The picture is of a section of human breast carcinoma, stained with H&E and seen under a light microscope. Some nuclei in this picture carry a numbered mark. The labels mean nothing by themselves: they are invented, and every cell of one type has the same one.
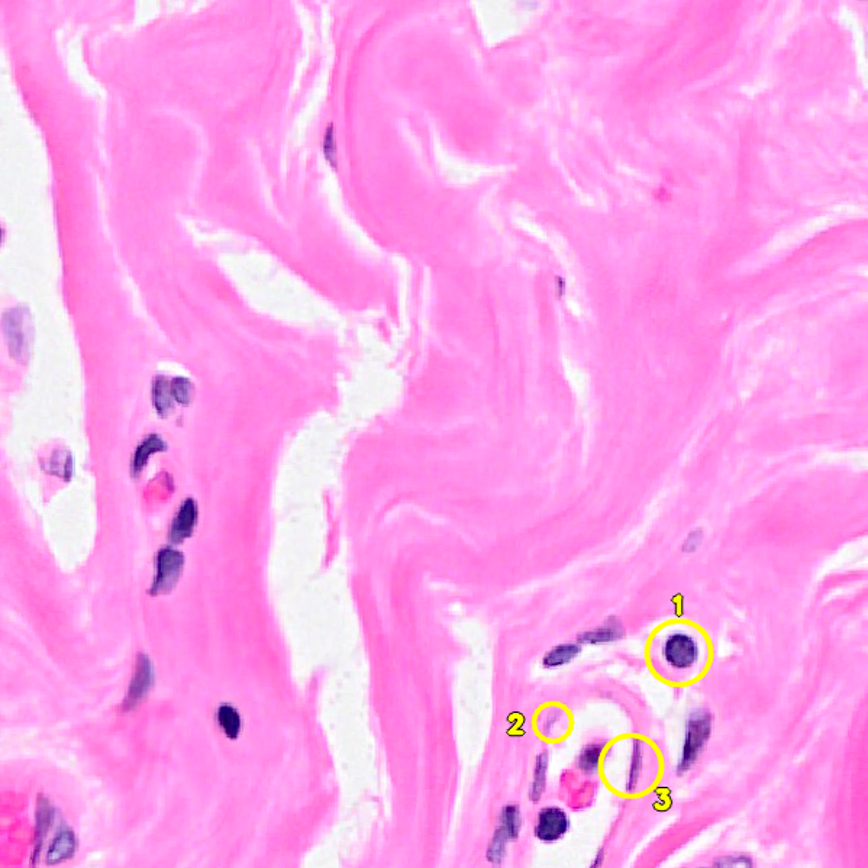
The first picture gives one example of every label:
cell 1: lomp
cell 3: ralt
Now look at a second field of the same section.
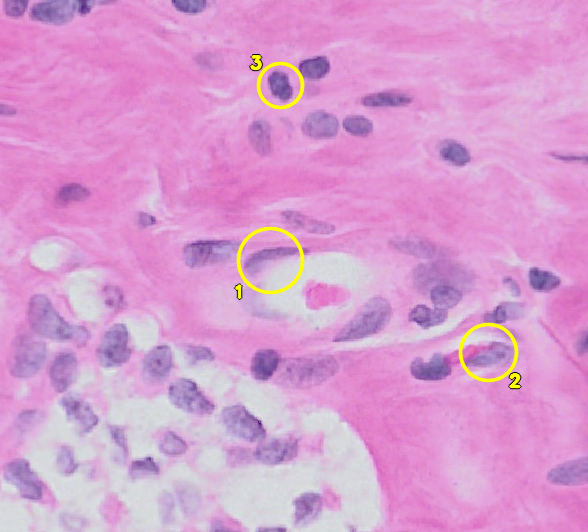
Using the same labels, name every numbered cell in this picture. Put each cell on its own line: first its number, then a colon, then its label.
1: ralt
2: ralt
3: lomp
